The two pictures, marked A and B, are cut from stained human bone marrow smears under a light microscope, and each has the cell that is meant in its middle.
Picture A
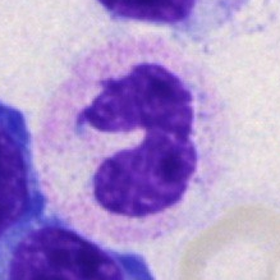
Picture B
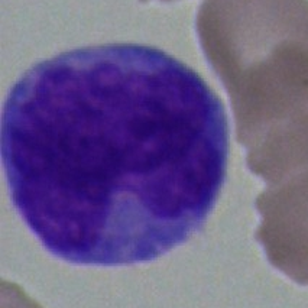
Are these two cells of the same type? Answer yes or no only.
no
